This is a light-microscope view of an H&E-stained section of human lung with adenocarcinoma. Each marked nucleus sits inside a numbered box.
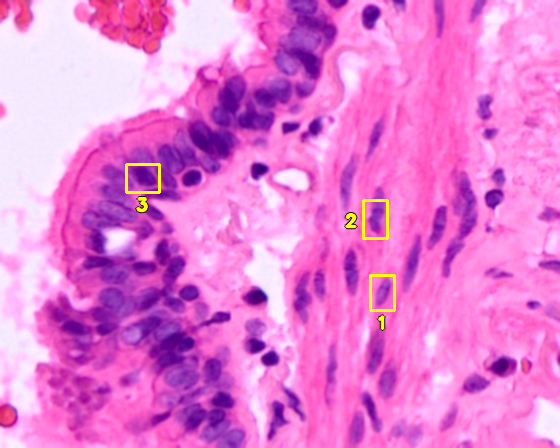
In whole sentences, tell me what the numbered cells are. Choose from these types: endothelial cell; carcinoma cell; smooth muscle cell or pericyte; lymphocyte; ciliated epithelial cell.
Cell 1 is a smooth muscle cell or pericyte, cell 2 is a smooth muscle cell or pericyte and cell 3 is a ciliated epithelial cell.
